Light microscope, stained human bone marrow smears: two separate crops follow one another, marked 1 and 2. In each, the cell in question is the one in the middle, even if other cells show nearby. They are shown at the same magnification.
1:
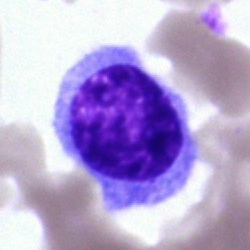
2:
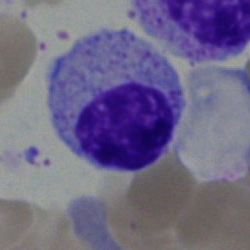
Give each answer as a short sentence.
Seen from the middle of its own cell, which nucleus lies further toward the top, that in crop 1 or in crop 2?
In crop 1 the nucleus is shifted more toward the top.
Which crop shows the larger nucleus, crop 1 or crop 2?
Larger is the nucleus in crop 1, at roughly 1.5 times the area of the other.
